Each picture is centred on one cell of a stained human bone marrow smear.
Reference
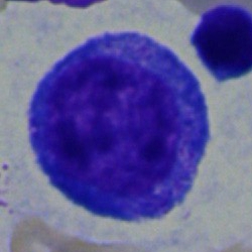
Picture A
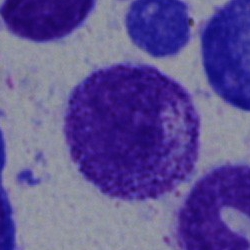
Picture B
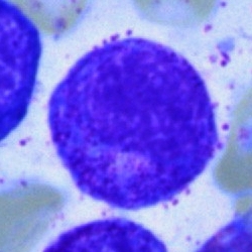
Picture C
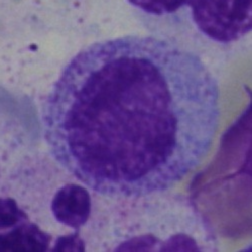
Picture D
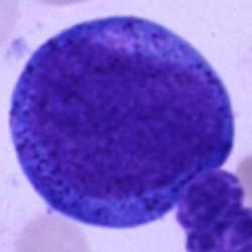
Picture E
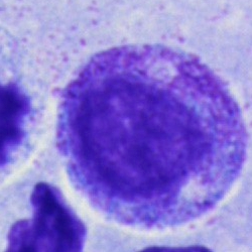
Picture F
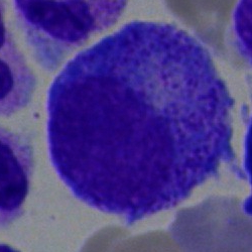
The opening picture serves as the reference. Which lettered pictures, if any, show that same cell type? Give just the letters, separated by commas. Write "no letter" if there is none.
B, C, D, E, F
